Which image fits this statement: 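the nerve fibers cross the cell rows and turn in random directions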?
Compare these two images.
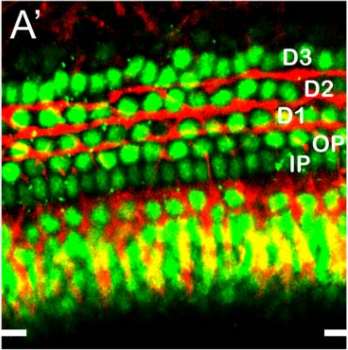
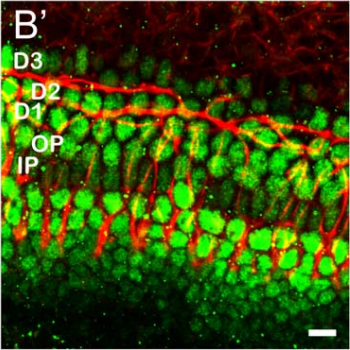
The second image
